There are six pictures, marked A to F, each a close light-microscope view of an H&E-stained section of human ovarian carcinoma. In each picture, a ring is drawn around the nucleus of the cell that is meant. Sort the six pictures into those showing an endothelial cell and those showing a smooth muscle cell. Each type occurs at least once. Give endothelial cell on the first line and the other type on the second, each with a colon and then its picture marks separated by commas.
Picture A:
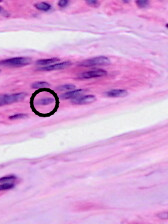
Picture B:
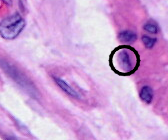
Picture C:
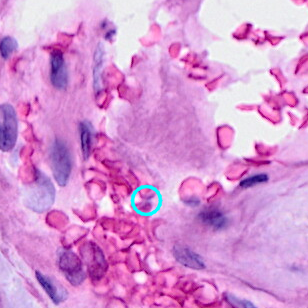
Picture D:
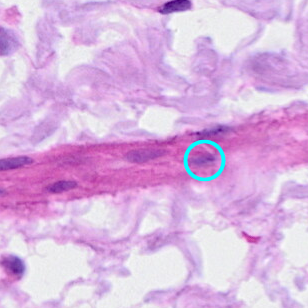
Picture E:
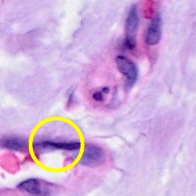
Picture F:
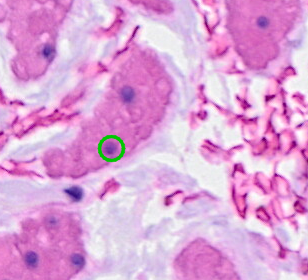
endothelial cell: C, E
smooth muscle cell: A, B, D, F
